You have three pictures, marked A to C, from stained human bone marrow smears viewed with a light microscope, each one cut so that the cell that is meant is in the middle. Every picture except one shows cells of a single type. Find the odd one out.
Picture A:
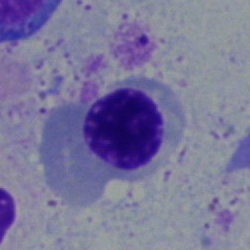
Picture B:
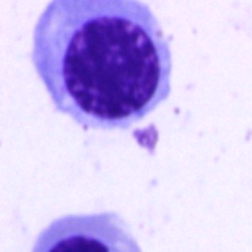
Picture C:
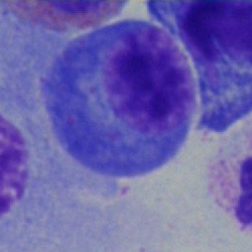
C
